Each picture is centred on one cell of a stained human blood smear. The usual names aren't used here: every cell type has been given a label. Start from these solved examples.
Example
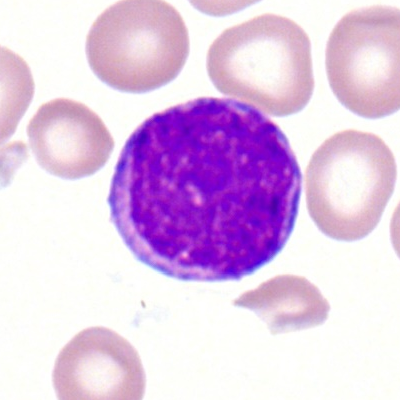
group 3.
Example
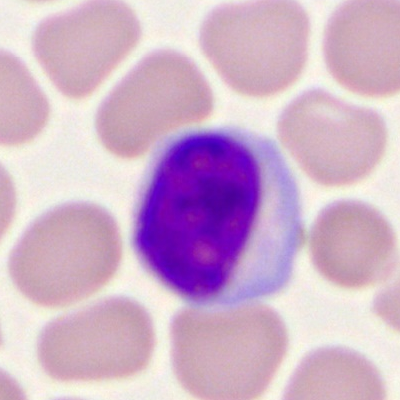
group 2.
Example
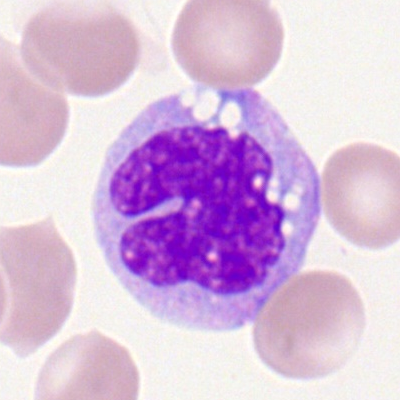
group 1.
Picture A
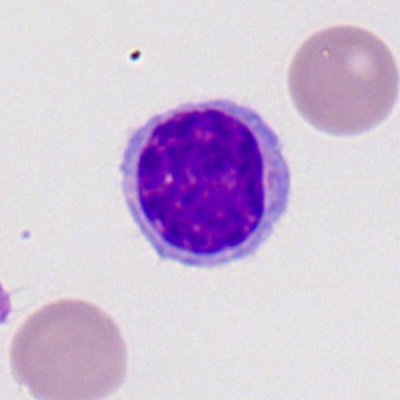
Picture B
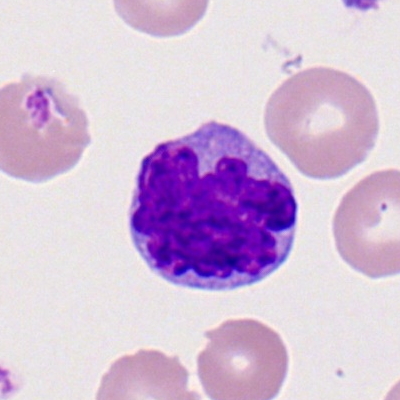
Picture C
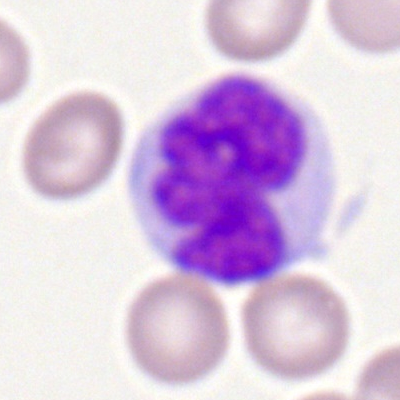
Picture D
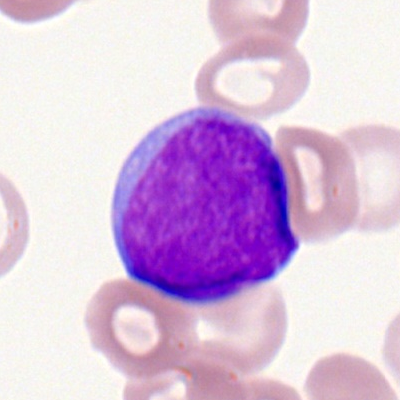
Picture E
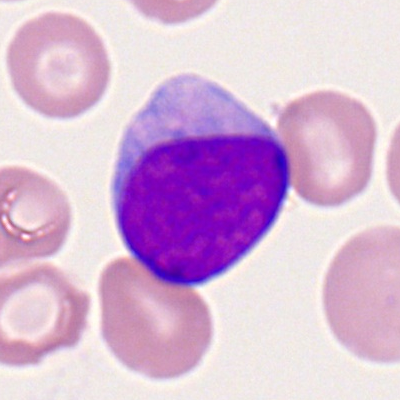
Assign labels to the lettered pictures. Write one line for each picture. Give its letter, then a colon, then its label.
A: group 2.
B: group 1.
C: group 1.
D: group 3.
E: group 3.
